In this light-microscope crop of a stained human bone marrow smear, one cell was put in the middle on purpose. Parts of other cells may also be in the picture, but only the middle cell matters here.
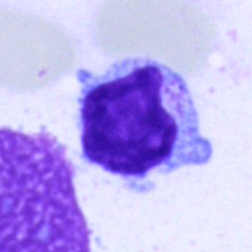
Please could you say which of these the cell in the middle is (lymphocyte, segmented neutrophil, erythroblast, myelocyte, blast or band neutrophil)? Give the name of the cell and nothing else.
lymphocyte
